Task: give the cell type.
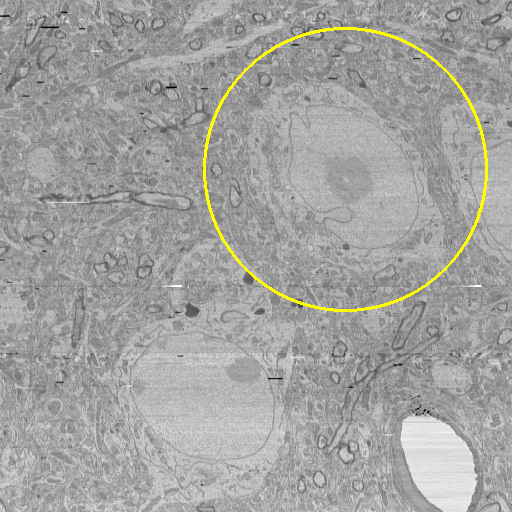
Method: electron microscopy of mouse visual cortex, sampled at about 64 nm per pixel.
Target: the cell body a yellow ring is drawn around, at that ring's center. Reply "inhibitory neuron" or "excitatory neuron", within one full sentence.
In this picture, the cell whose body lies at the ring's center is an excitatory neuron.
